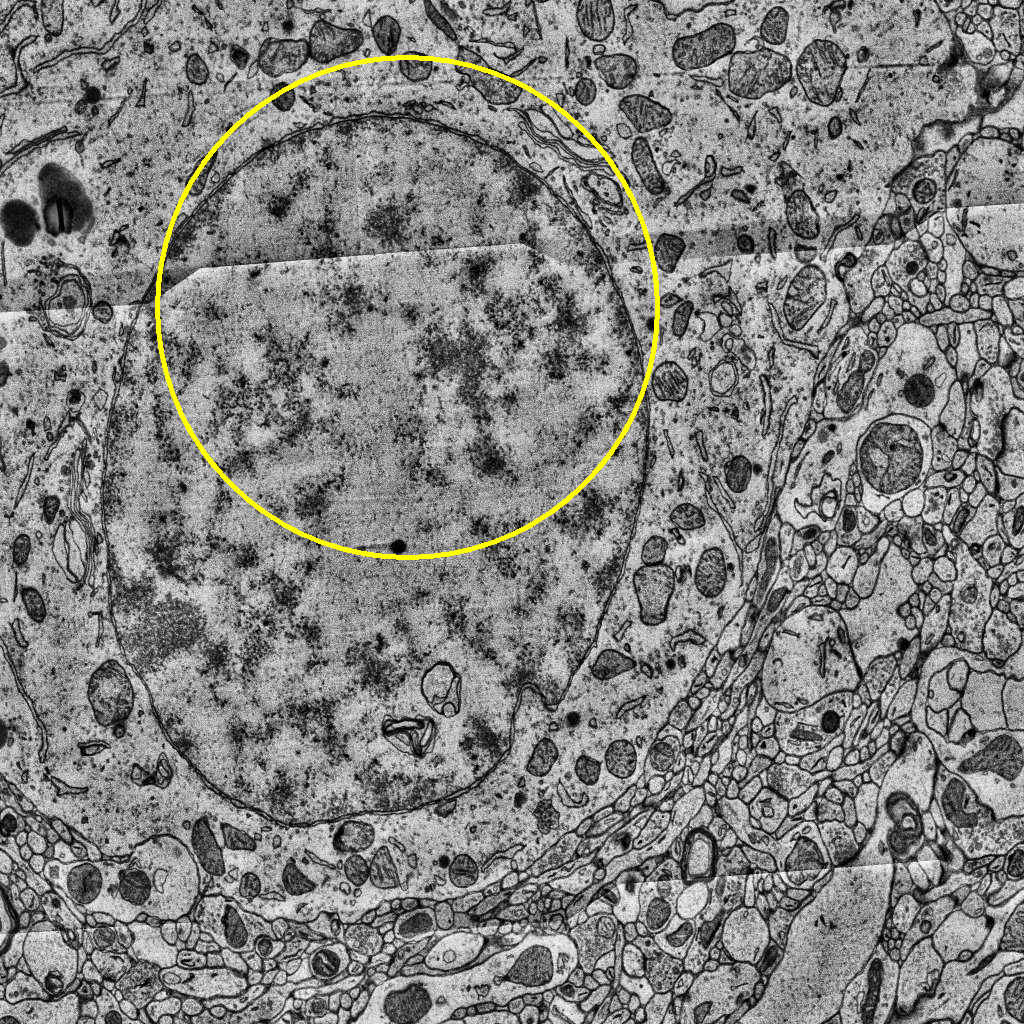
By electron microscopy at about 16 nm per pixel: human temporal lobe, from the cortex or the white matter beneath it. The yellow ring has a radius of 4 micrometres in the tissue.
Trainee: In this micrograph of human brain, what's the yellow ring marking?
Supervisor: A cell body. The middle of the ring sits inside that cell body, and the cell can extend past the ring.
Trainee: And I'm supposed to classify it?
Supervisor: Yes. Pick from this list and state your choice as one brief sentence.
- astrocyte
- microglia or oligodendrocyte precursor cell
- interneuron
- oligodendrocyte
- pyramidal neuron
The cell at the ring's center is an interneuron.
